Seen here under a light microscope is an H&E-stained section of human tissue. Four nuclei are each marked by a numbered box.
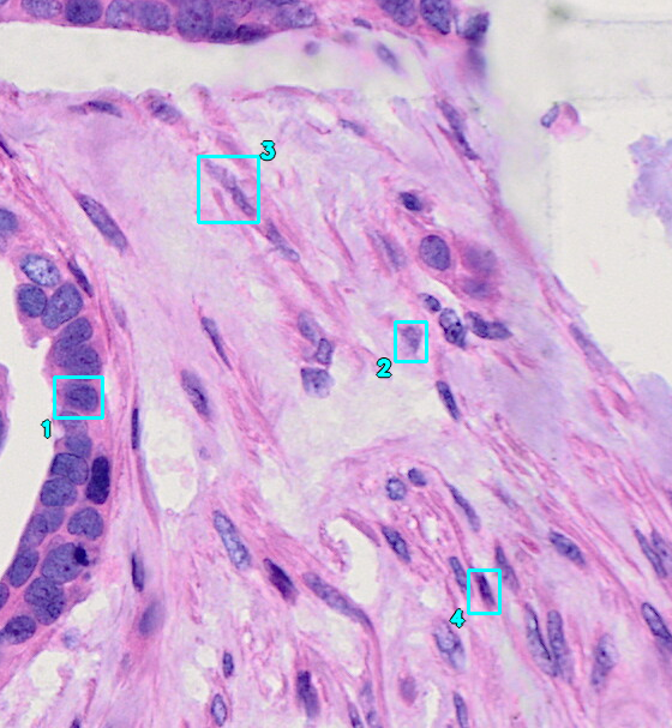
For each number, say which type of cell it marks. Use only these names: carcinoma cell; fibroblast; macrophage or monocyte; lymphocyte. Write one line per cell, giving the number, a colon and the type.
1: carcinoma cell
2: fibroblast
3: fibroblast
4: fibroblast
